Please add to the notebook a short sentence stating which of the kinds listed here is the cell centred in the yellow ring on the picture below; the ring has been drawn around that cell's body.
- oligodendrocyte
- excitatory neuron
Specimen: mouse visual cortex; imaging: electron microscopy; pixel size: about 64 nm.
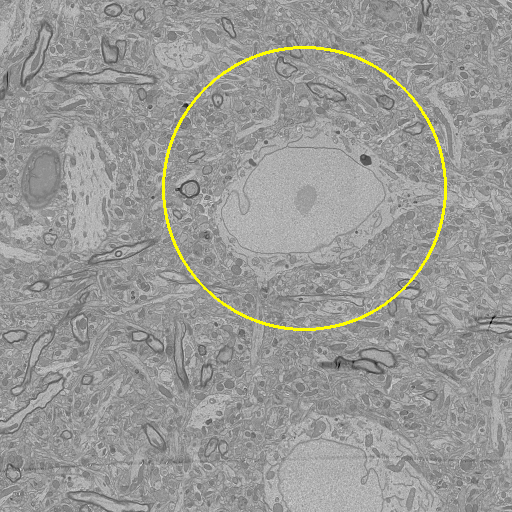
The cell centred in the yellow ring is an excitatory neuron.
